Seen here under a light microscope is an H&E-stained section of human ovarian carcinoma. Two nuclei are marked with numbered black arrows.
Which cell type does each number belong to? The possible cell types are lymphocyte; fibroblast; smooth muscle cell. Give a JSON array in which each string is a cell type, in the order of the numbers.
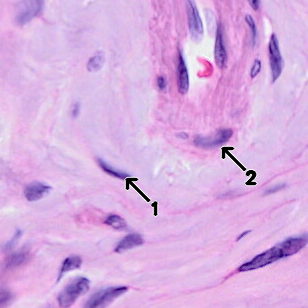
["fibroblast", "smooth muscle cell"]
